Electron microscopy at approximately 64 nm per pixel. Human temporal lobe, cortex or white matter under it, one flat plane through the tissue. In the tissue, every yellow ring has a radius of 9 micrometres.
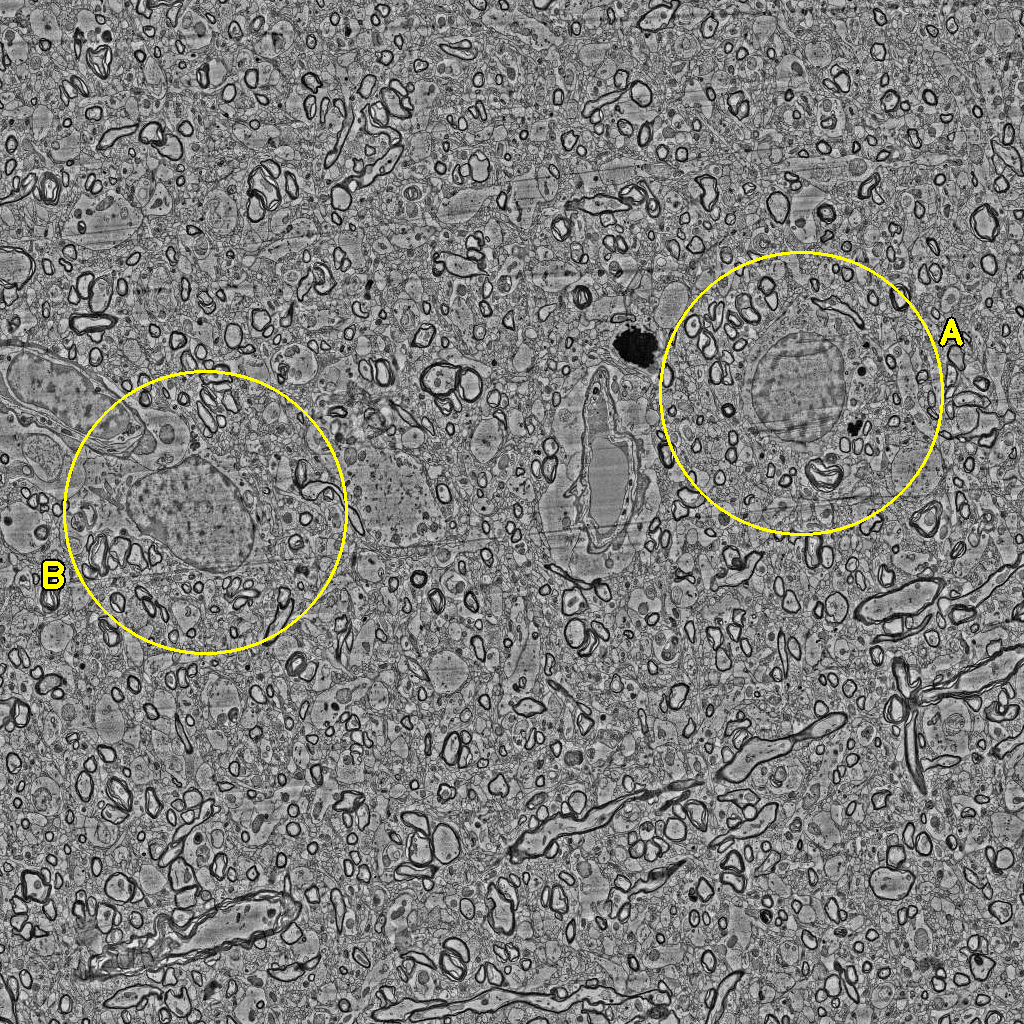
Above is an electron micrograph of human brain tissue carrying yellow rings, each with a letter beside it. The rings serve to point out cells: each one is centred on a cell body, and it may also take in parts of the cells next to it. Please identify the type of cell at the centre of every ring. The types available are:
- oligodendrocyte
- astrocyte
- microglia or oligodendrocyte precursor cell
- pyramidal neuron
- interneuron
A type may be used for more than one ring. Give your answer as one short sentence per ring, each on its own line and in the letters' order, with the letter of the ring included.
Ring A points to the cell body of an oligodendrocyte.
Ring B points to the cell body of a microglial cell or oligodendrocyte precursor cell.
